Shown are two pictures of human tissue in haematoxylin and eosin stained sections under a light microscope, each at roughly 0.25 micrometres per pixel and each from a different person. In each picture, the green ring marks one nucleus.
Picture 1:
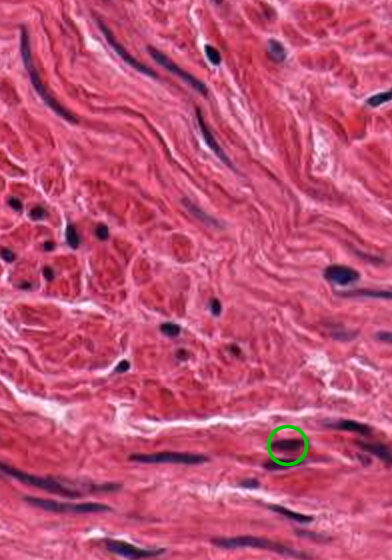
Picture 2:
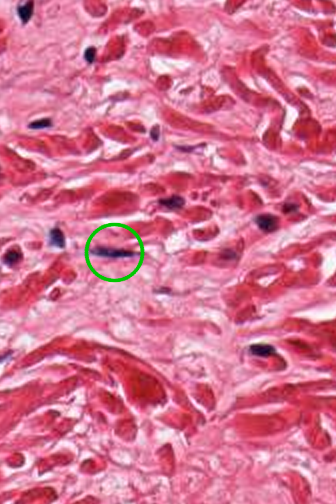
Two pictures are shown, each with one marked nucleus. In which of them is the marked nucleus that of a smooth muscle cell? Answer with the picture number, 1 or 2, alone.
1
